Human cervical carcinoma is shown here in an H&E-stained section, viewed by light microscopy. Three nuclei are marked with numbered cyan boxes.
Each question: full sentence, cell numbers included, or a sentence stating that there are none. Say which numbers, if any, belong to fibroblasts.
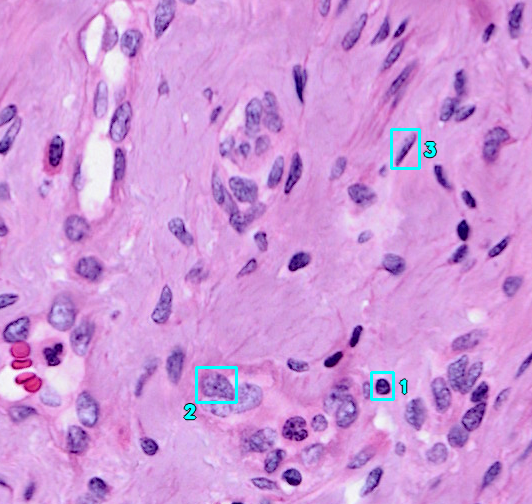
Only one choice fits: cell 3 is a fibroblast, and no other.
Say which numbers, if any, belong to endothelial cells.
Across all the numbered cells, only number 2 is an endothelial cell.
